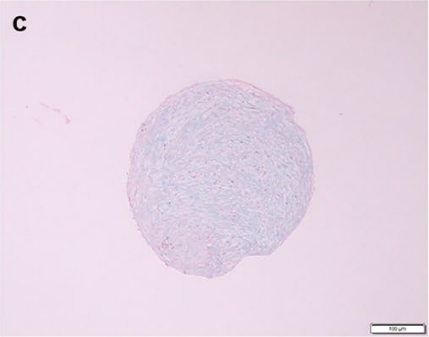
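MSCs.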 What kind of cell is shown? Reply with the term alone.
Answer: Chondrocytes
